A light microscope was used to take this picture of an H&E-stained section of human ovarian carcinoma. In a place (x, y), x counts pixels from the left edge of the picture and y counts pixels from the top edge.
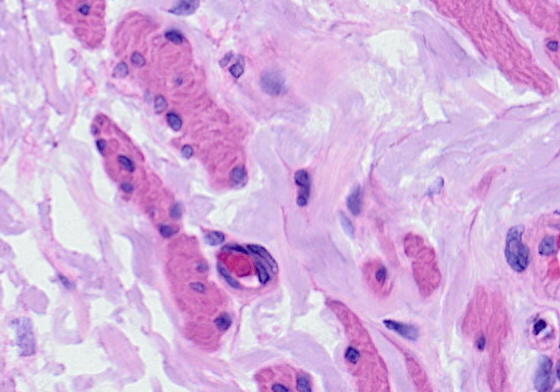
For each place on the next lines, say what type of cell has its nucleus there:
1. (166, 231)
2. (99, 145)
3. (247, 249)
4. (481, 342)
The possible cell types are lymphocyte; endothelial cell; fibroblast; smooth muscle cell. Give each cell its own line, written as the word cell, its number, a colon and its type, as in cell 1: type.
cell 1: smooth muscle cell
cell 2: smooth muscle cell
cell 3: endothelial cell
cell 4: smooth muscle cell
